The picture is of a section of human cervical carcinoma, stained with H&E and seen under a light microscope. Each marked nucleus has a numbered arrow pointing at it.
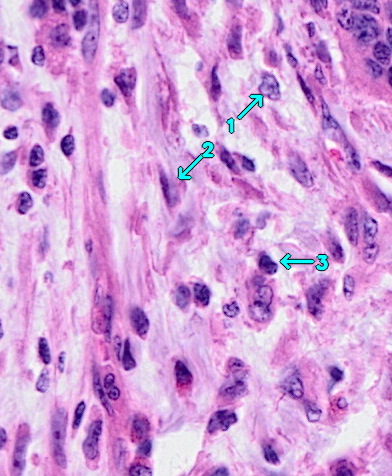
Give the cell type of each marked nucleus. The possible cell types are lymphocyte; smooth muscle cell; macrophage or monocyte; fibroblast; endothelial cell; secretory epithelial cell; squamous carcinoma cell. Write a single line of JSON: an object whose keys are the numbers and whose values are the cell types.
{"1": "fibroblast", "2": "fibroblast", "3": "lymphocyte"}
